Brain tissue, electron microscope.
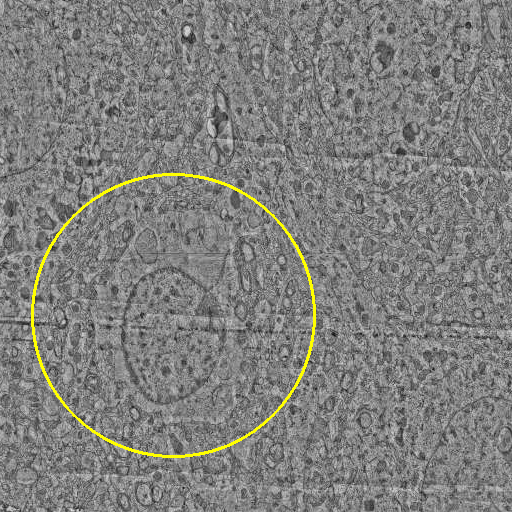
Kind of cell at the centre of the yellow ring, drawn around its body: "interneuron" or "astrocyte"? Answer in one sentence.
The ring's centre falls on an astrocyte.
